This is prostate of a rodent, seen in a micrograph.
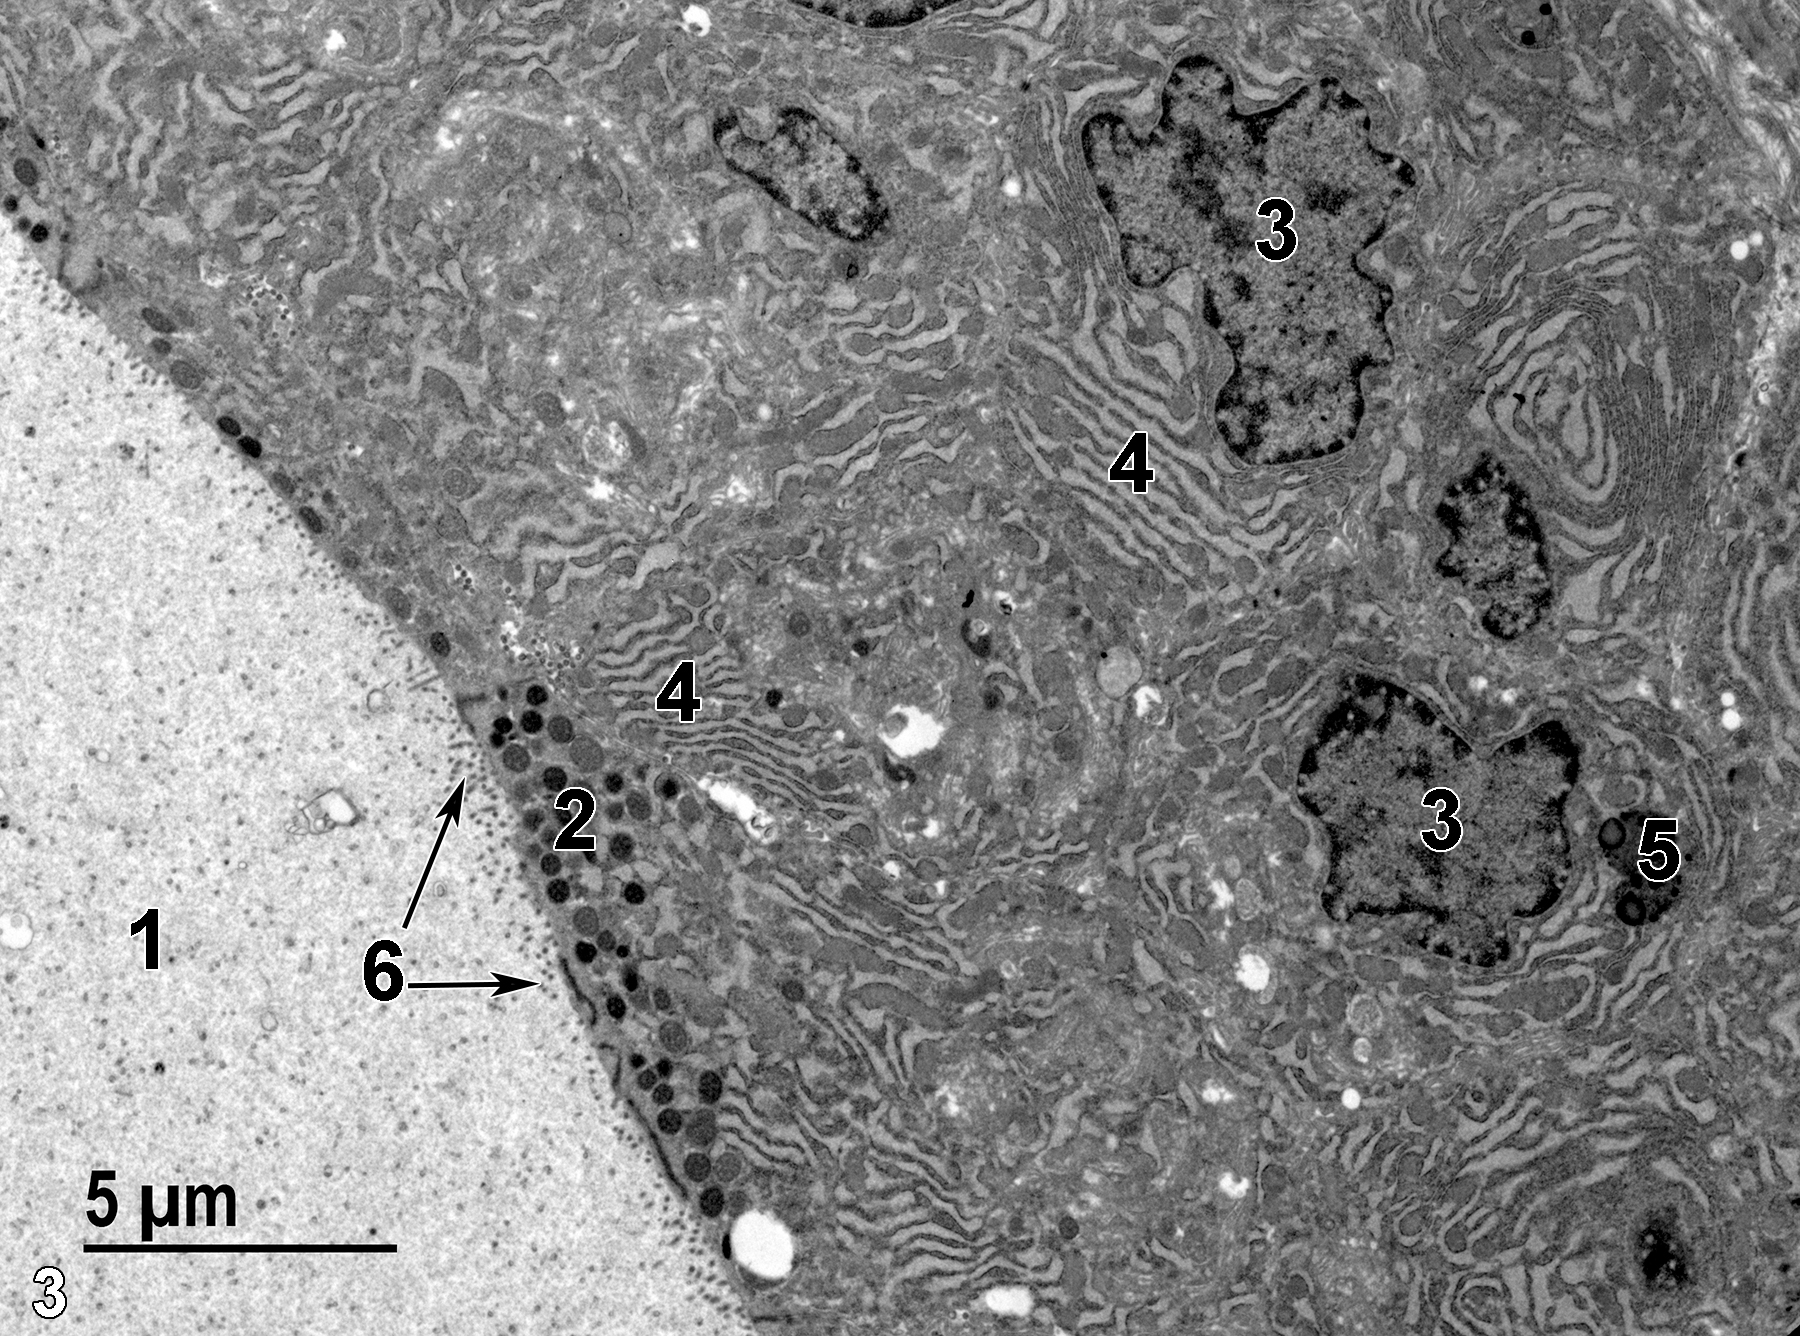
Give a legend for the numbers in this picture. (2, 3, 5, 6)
2. apical secretory granules
3. basal nuclei
5. lysosome
6. microvilli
